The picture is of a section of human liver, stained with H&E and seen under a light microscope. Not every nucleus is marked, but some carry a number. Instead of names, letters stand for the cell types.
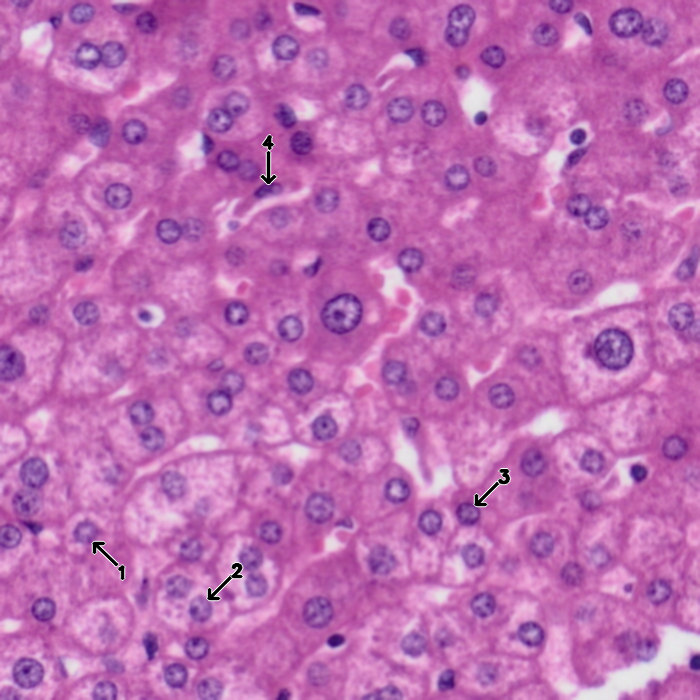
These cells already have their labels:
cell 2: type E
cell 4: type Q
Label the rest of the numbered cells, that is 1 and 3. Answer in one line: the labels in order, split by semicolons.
type E; type E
